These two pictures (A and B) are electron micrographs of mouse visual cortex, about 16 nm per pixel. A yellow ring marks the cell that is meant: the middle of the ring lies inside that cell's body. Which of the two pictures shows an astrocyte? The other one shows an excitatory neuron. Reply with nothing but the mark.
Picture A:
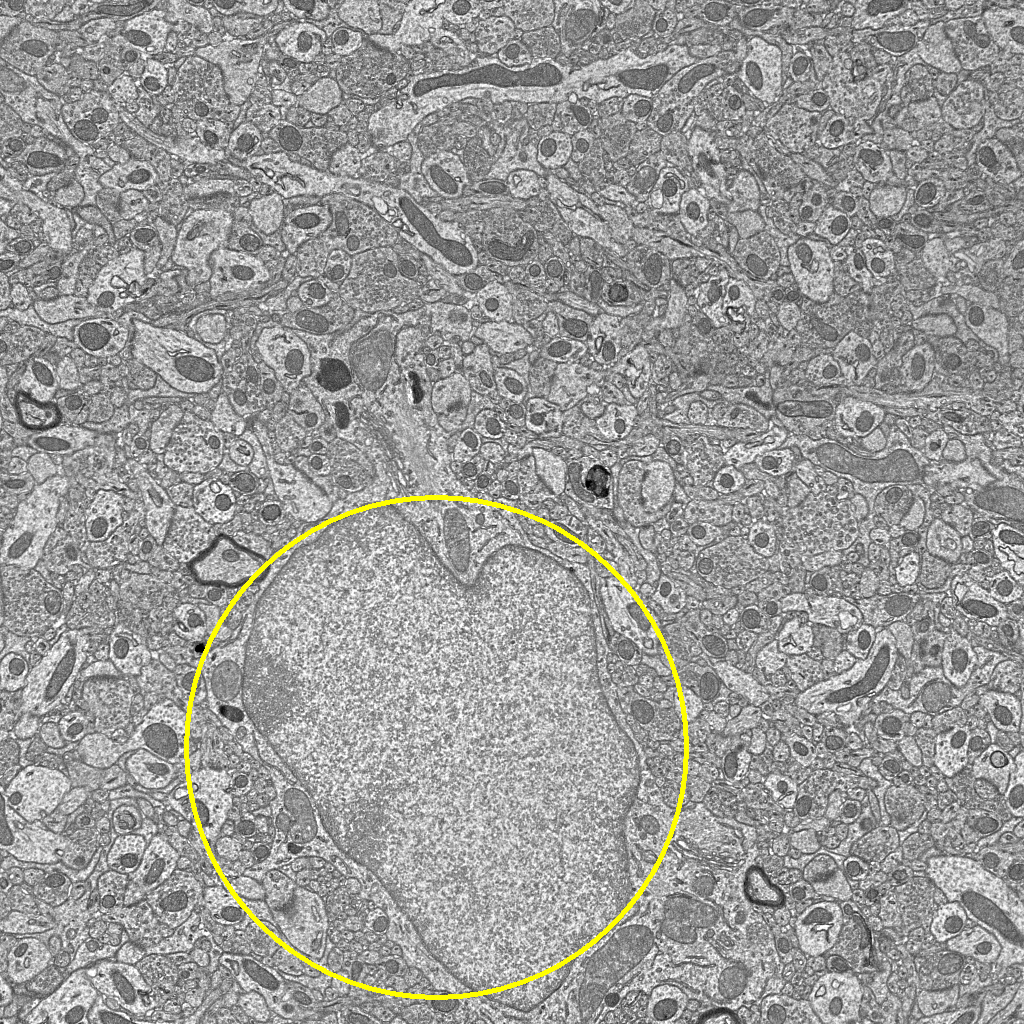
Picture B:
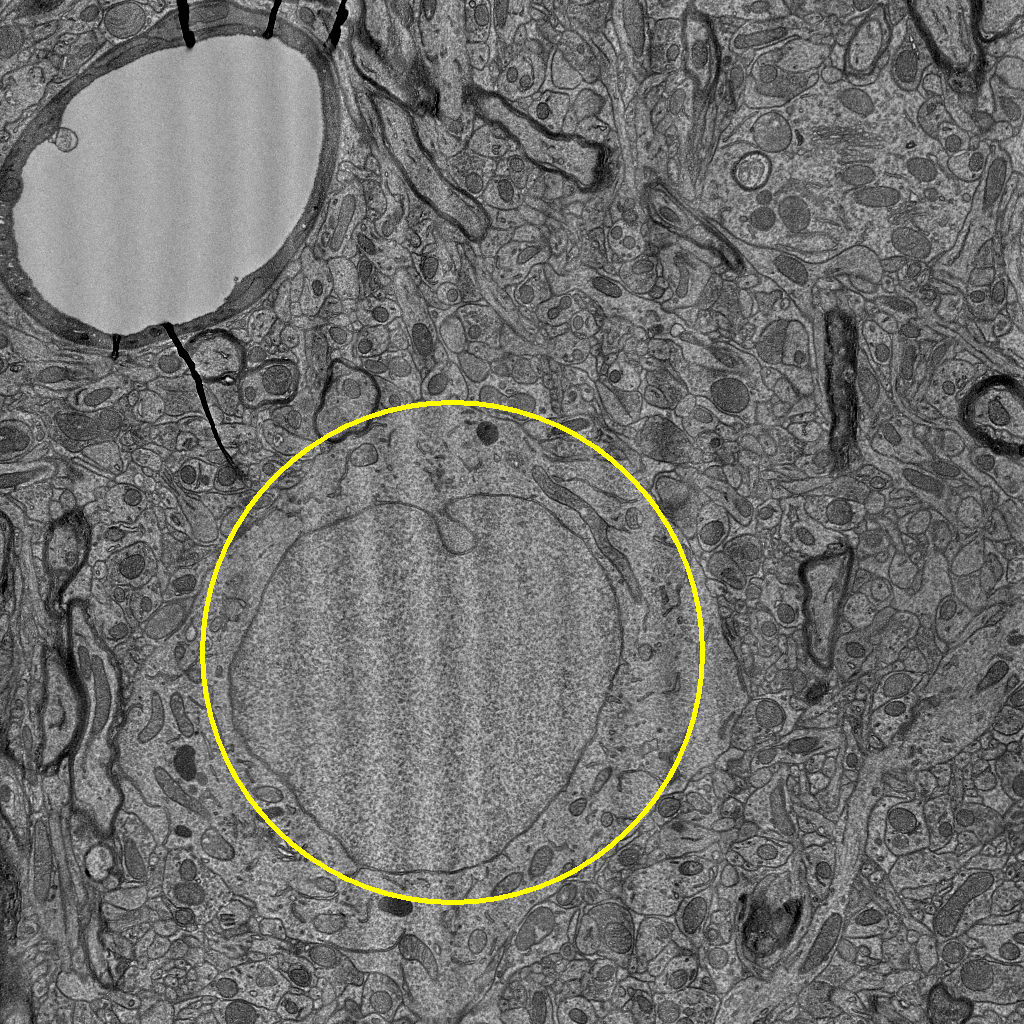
A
